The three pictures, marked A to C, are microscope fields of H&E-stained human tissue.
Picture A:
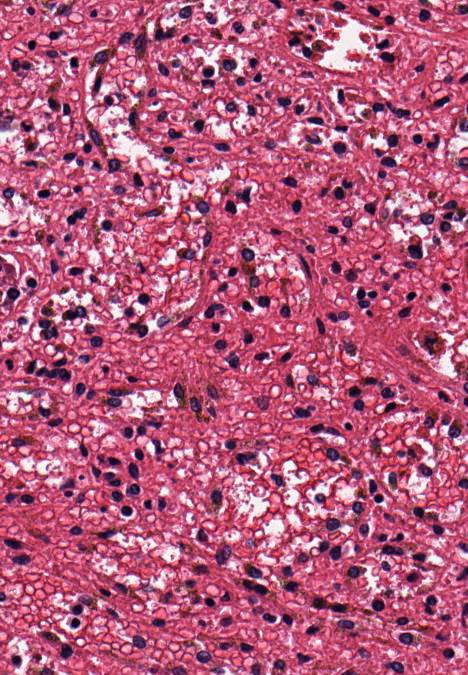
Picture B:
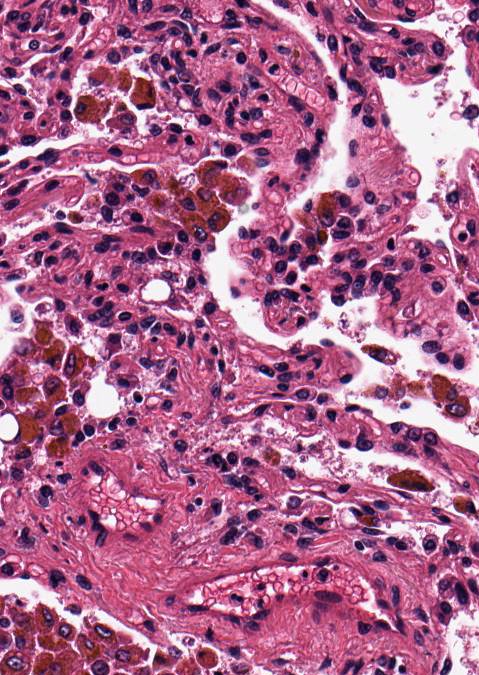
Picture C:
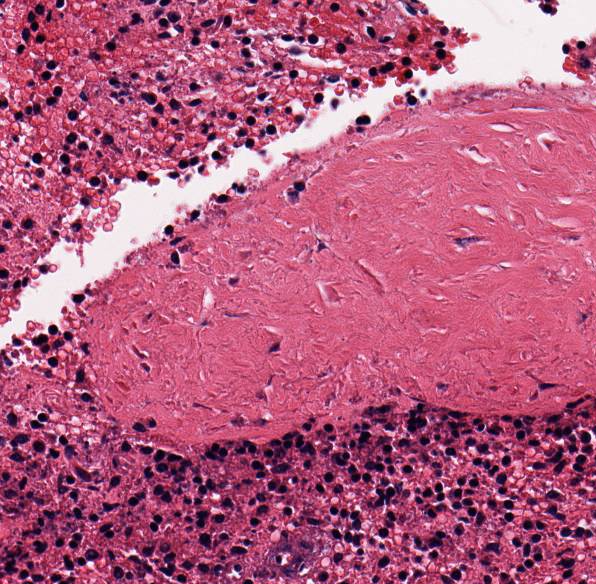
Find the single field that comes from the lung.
B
